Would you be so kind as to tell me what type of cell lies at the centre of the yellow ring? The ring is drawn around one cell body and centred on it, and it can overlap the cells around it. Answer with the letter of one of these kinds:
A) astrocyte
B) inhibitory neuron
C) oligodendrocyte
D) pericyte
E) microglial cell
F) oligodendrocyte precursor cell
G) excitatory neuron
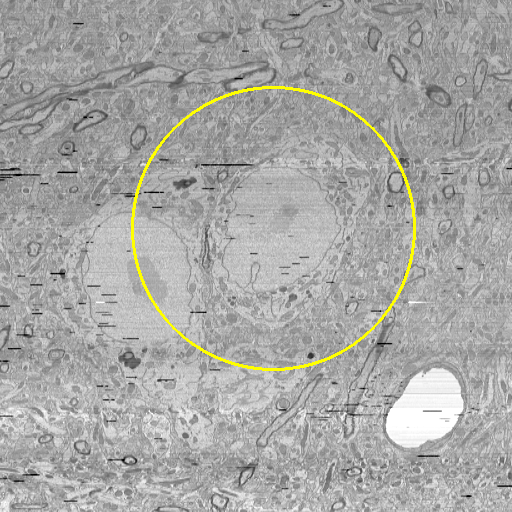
B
